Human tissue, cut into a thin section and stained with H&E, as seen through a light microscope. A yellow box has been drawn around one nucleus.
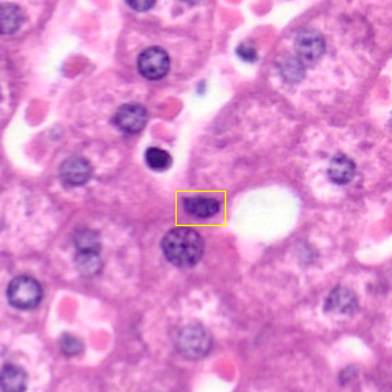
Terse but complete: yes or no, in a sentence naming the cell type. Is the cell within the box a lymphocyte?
No, the cell within the box counts as a fibroblast or stellate cell, not a lymphocyte.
